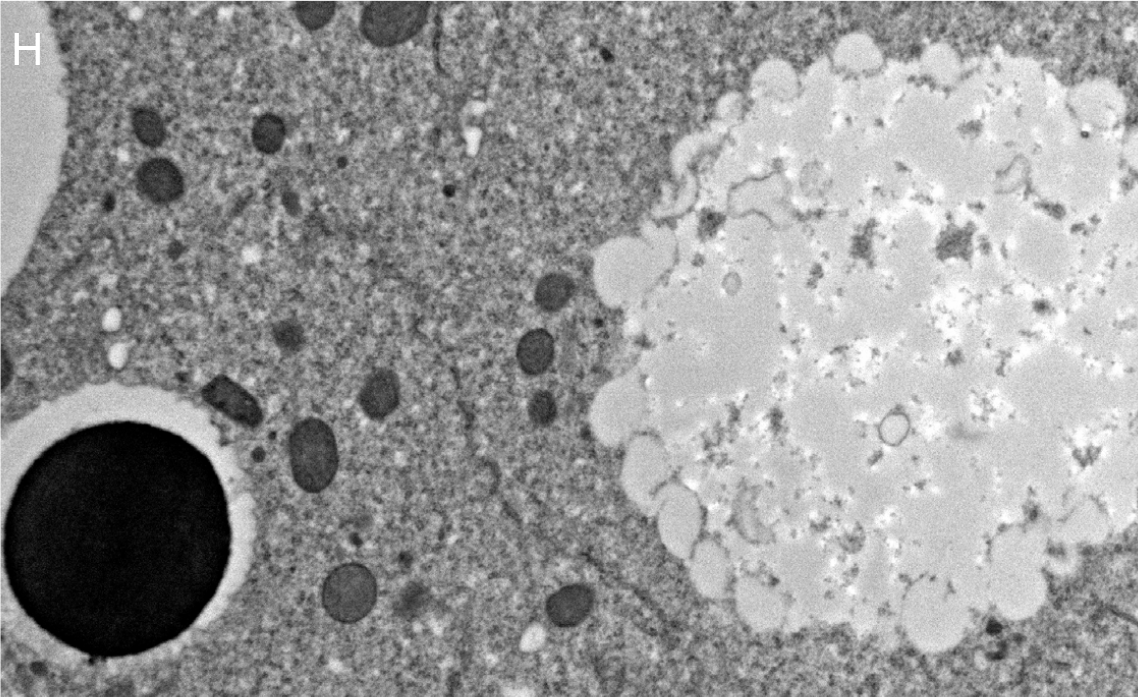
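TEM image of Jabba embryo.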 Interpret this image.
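This is an electron micrograph of embryonic cytoplasm dominated by one large glycogen granule, a pale, irregular mass on the right. Its whole outline is scalloped by many small, round, pale lipid droplets pressed against its surface, like beads set around its edge. Around it the cytoplasm is finely granular and holds scattered dark oval mitochondria, some showing internal membranes. At the lower left lies a large, very dense round body with a pale halo. Notice that almost no free lipid droplets lie in the surrounding cytoplasm; nearly all are bound to the granule's surface.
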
